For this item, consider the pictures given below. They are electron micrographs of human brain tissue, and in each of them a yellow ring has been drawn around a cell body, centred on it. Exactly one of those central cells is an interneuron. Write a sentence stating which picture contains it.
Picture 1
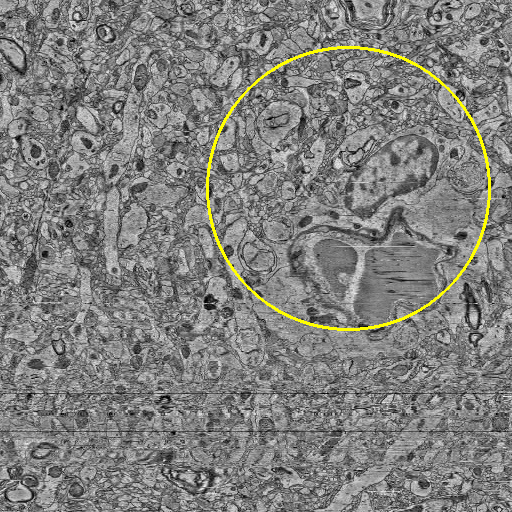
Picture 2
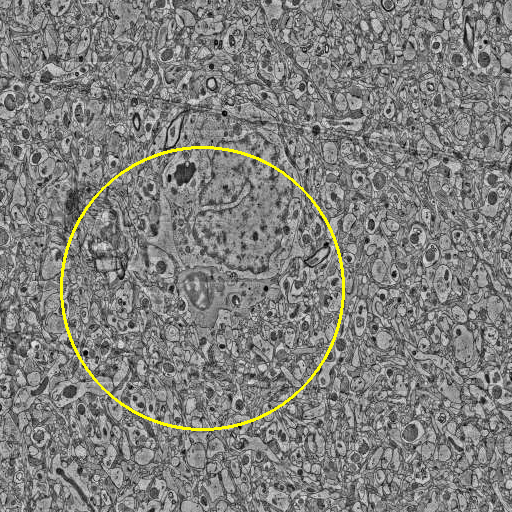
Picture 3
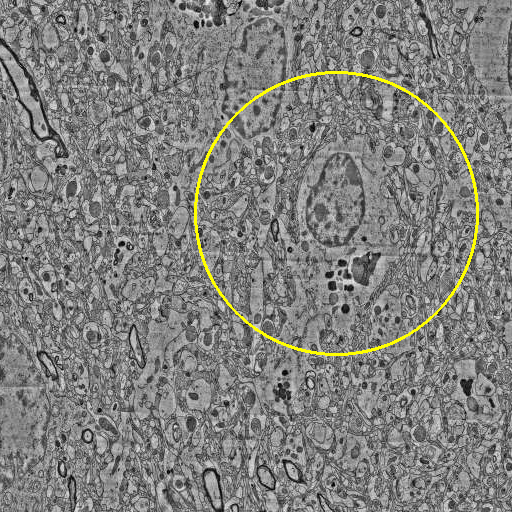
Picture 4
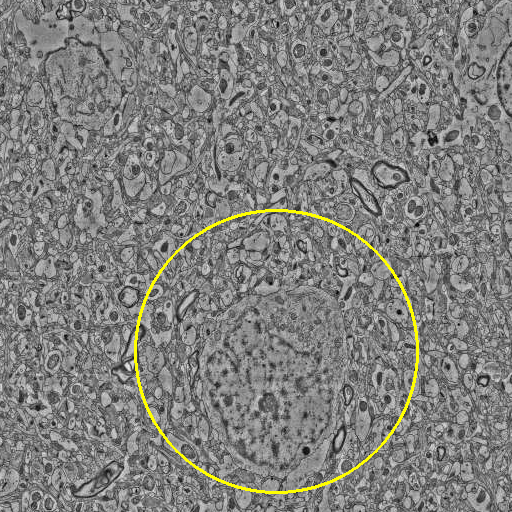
It is in Picture 4.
